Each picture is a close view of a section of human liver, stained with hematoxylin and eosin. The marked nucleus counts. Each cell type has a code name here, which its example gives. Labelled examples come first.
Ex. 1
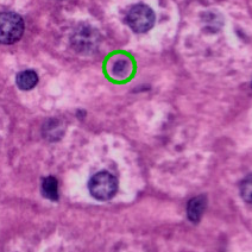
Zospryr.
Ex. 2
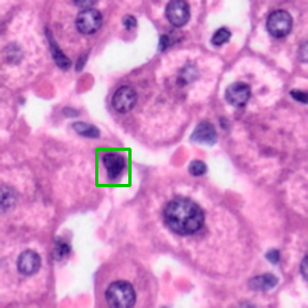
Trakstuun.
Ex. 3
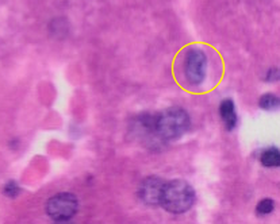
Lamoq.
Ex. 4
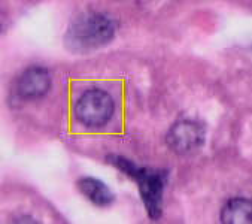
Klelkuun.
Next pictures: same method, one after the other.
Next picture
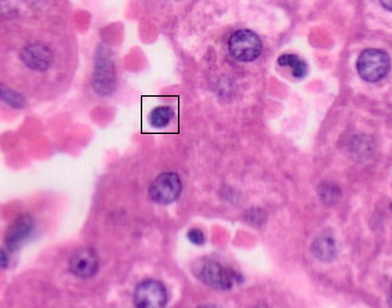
Zospryr.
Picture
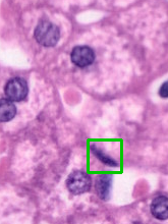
Lamoq.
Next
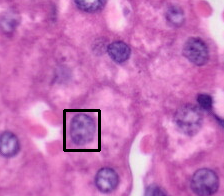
Klelkuun.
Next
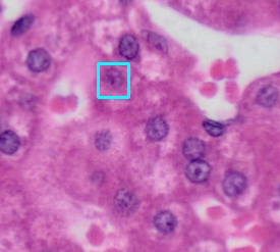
Klelkuun.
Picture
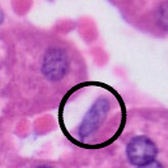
Trakstuun.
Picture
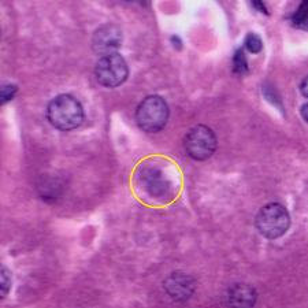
Trakstuun.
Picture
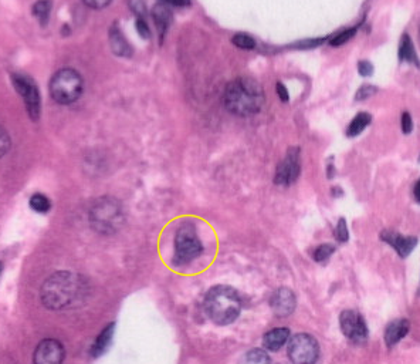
Lamoq.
